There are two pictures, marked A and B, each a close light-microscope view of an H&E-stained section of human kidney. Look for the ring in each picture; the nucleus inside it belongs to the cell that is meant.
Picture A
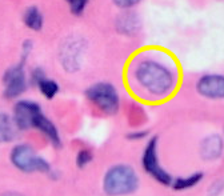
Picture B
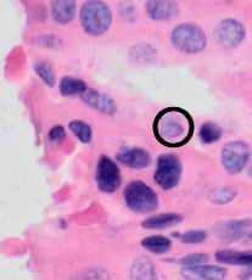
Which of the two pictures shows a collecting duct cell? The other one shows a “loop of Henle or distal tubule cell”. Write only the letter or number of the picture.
B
